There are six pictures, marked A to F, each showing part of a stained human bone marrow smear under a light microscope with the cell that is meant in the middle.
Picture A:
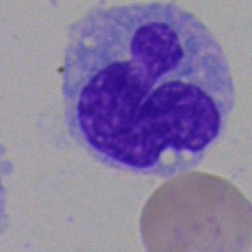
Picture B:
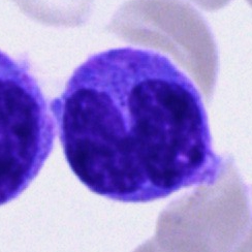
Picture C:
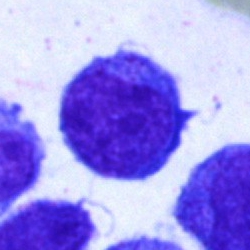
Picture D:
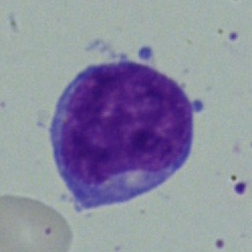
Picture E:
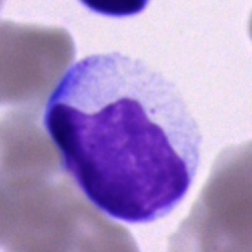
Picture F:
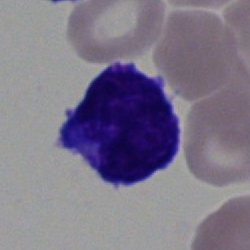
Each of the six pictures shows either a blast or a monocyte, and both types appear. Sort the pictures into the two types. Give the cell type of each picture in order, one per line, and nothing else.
monocyte
monocyte
blast
blast
blast
blast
